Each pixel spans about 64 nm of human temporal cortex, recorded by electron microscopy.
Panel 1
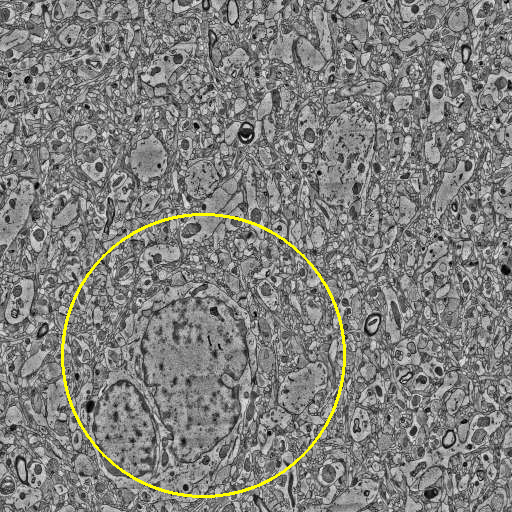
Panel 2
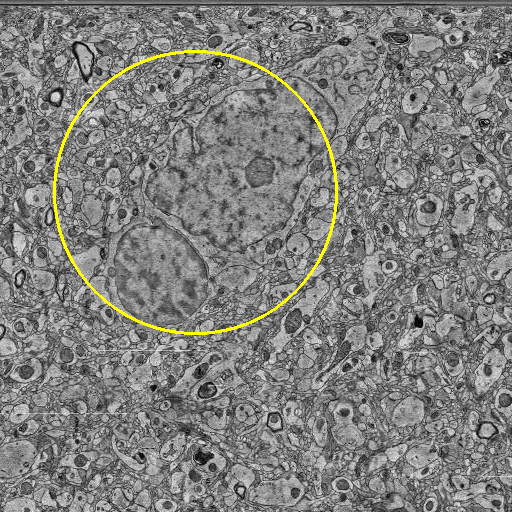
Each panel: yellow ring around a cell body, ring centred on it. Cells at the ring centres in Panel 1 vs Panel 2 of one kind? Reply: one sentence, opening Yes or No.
Yes, Panel 1 and Panel 2 have cells of one kind at the ring centres.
